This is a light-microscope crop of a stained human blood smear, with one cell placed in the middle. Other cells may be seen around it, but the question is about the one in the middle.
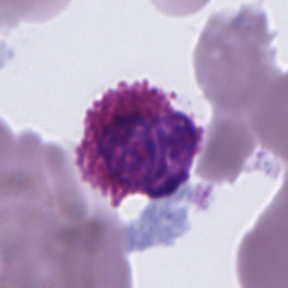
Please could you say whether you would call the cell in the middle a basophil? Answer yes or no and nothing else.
no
